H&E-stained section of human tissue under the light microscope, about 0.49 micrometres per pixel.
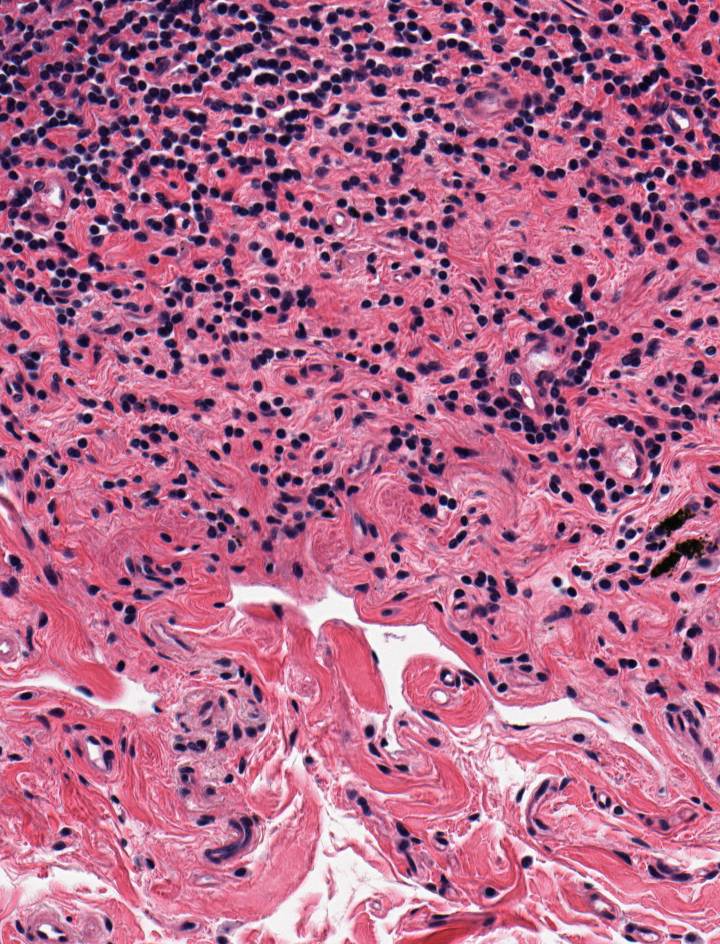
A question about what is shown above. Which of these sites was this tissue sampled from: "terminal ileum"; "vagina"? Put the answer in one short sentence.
The site this tissue was sampled from is the terminal ileum.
